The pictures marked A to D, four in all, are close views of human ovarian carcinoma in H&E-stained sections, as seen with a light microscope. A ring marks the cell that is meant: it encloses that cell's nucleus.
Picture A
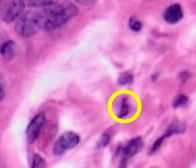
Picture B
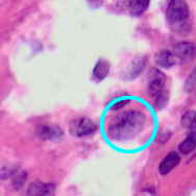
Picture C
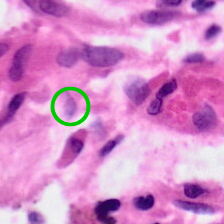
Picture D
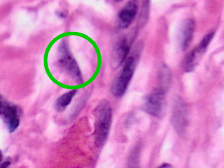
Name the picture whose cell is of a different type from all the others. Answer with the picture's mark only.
B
